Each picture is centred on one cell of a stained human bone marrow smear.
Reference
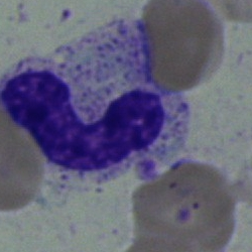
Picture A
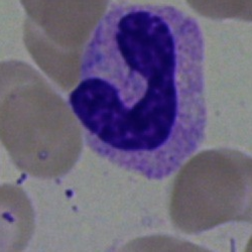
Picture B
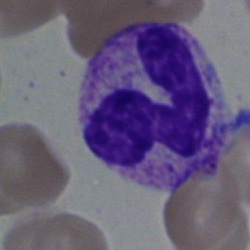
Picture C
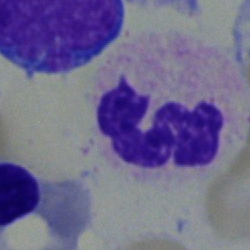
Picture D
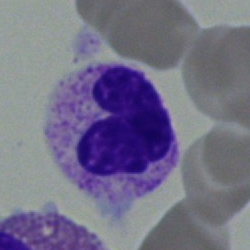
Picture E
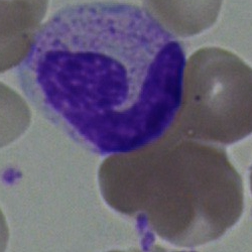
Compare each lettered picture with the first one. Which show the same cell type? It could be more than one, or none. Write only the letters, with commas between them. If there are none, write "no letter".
A, B, D, E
